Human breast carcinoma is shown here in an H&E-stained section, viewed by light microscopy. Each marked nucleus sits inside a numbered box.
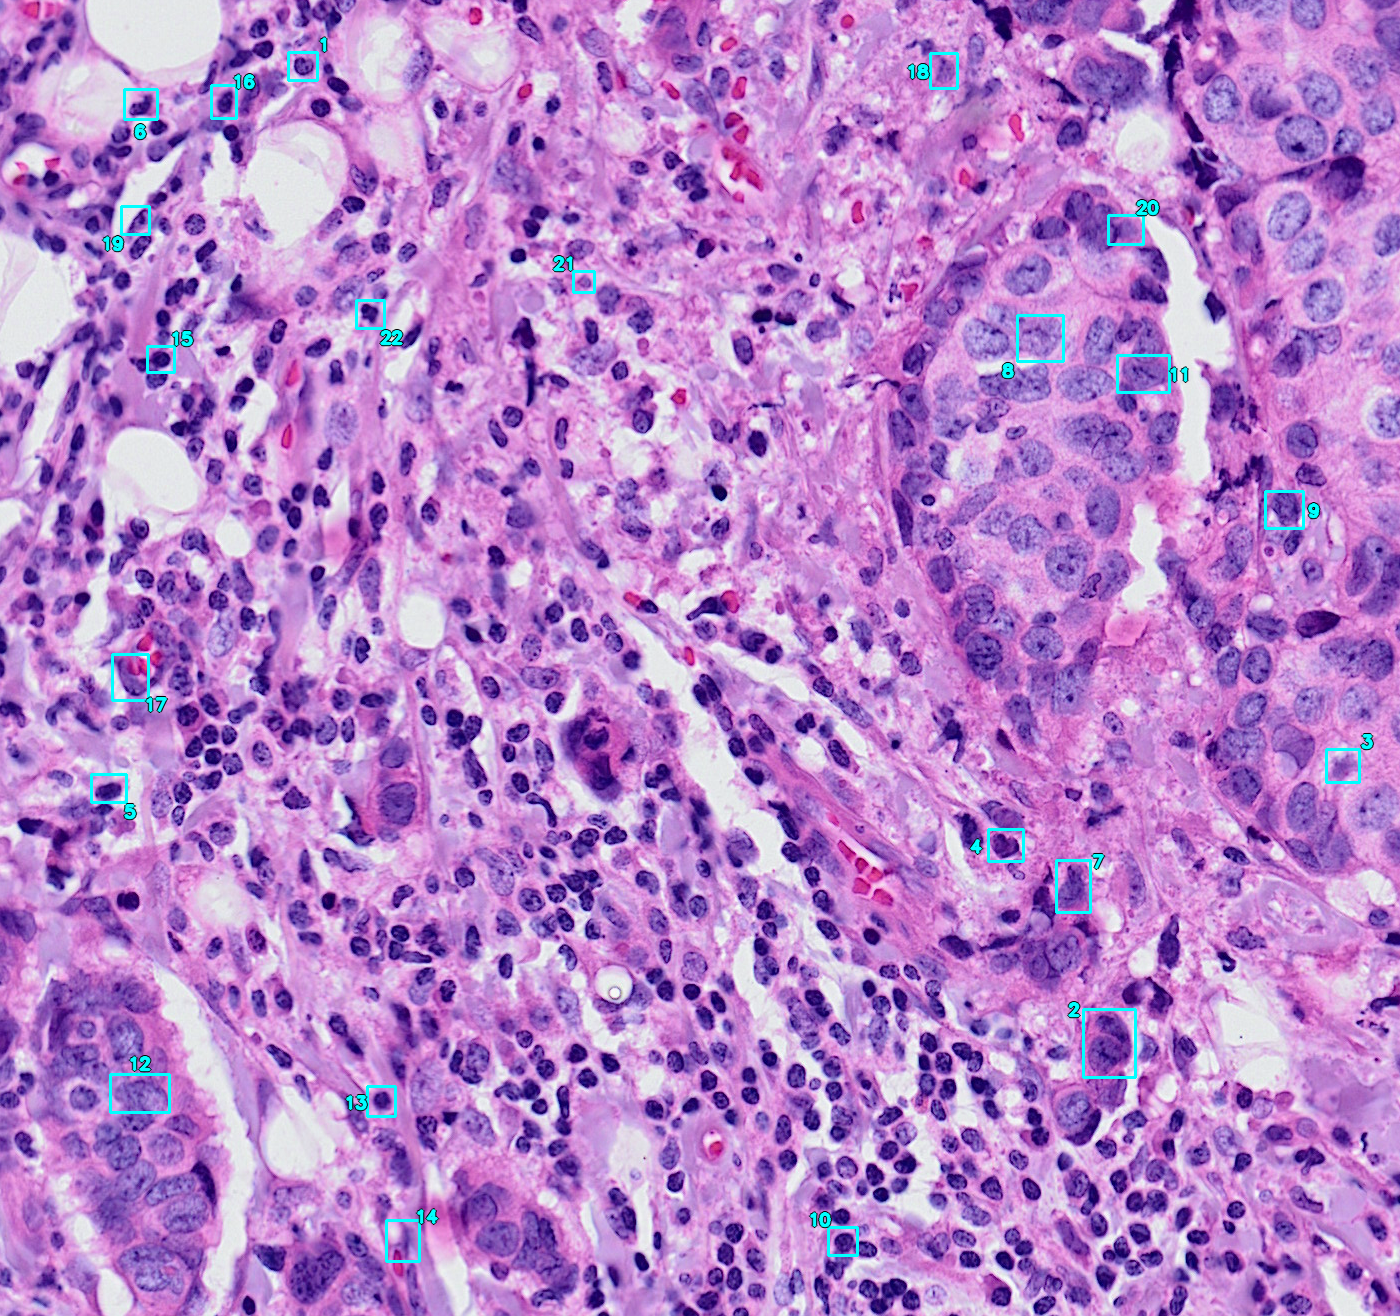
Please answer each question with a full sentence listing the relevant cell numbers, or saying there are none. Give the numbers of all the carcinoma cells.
The cells which carry the numbers 2, 3, 4, 7, 8, 9, 11, 12 and 20 are carcinoma cells.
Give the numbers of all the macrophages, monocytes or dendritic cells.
The cells that bear the numbers 18 and 21 are macrophages, monocytes or dendritic cells.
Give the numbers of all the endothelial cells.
The cells tagged with numbers 14 and 17 are endothelial cells.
